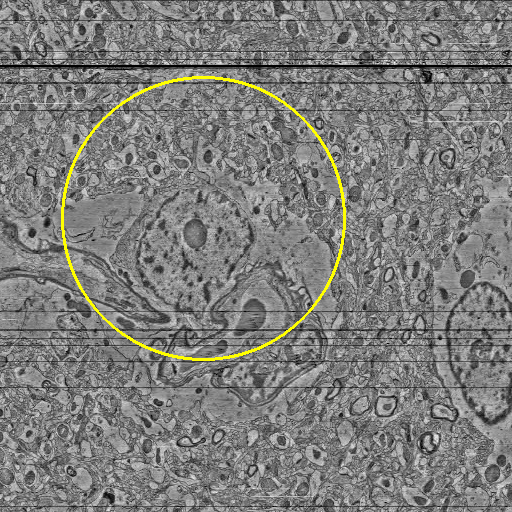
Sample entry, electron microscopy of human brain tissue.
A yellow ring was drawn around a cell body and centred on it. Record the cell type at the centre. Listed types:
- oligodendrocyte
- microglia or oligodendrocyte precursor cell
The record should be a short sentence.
The cell at the ring's centre is a microglial cell or oligodendrocyte precursor cell.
